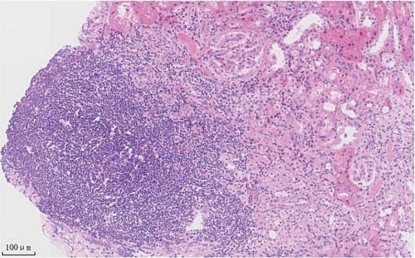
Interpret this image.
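Kidney tissue in which a dense, rounded nodule of lymphocytes occupies the left half, beside the renal cortex with glomeruli and tubules on the right. The nodule consists of closely packed small cells with round, dark-blue nuclei and scant cytoplasm, giving a deep purple tone with little intervening tissue; a small vessel lies within it. On the right, pink tubules are separated by widened interstitium, some appearing small and shrunken, and two glomeruli with their tufts of capillaries are visible.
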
